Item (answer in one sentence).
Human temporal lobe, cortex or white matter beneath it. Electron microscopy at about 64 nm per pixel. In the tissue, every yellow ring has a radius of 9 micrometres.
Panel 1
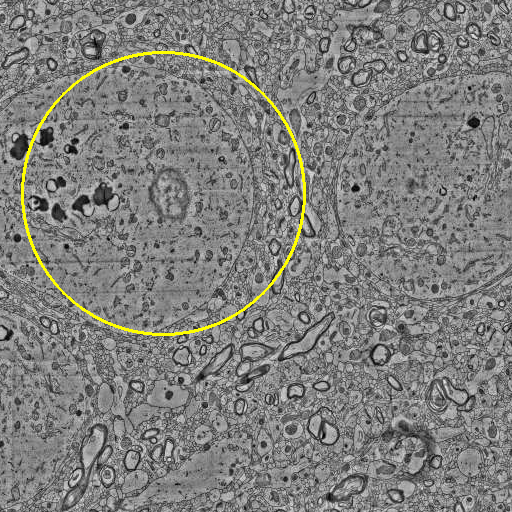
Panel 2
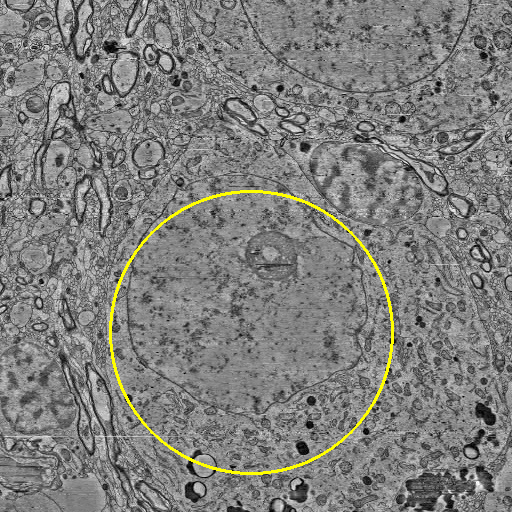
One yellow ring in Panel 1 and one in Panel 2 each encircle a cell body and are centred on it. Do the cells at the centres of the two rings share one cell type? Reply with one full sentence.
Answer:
Yes, Panel 1 and Panel 2 show cells of one type at the centres of their rings.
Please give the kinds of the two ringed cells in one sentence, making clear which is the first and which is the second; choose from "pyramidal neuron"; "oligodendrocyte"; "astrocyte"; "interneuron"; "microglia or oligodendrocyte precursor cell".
In both pictures the ring is centred on a pyramidal neuron.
